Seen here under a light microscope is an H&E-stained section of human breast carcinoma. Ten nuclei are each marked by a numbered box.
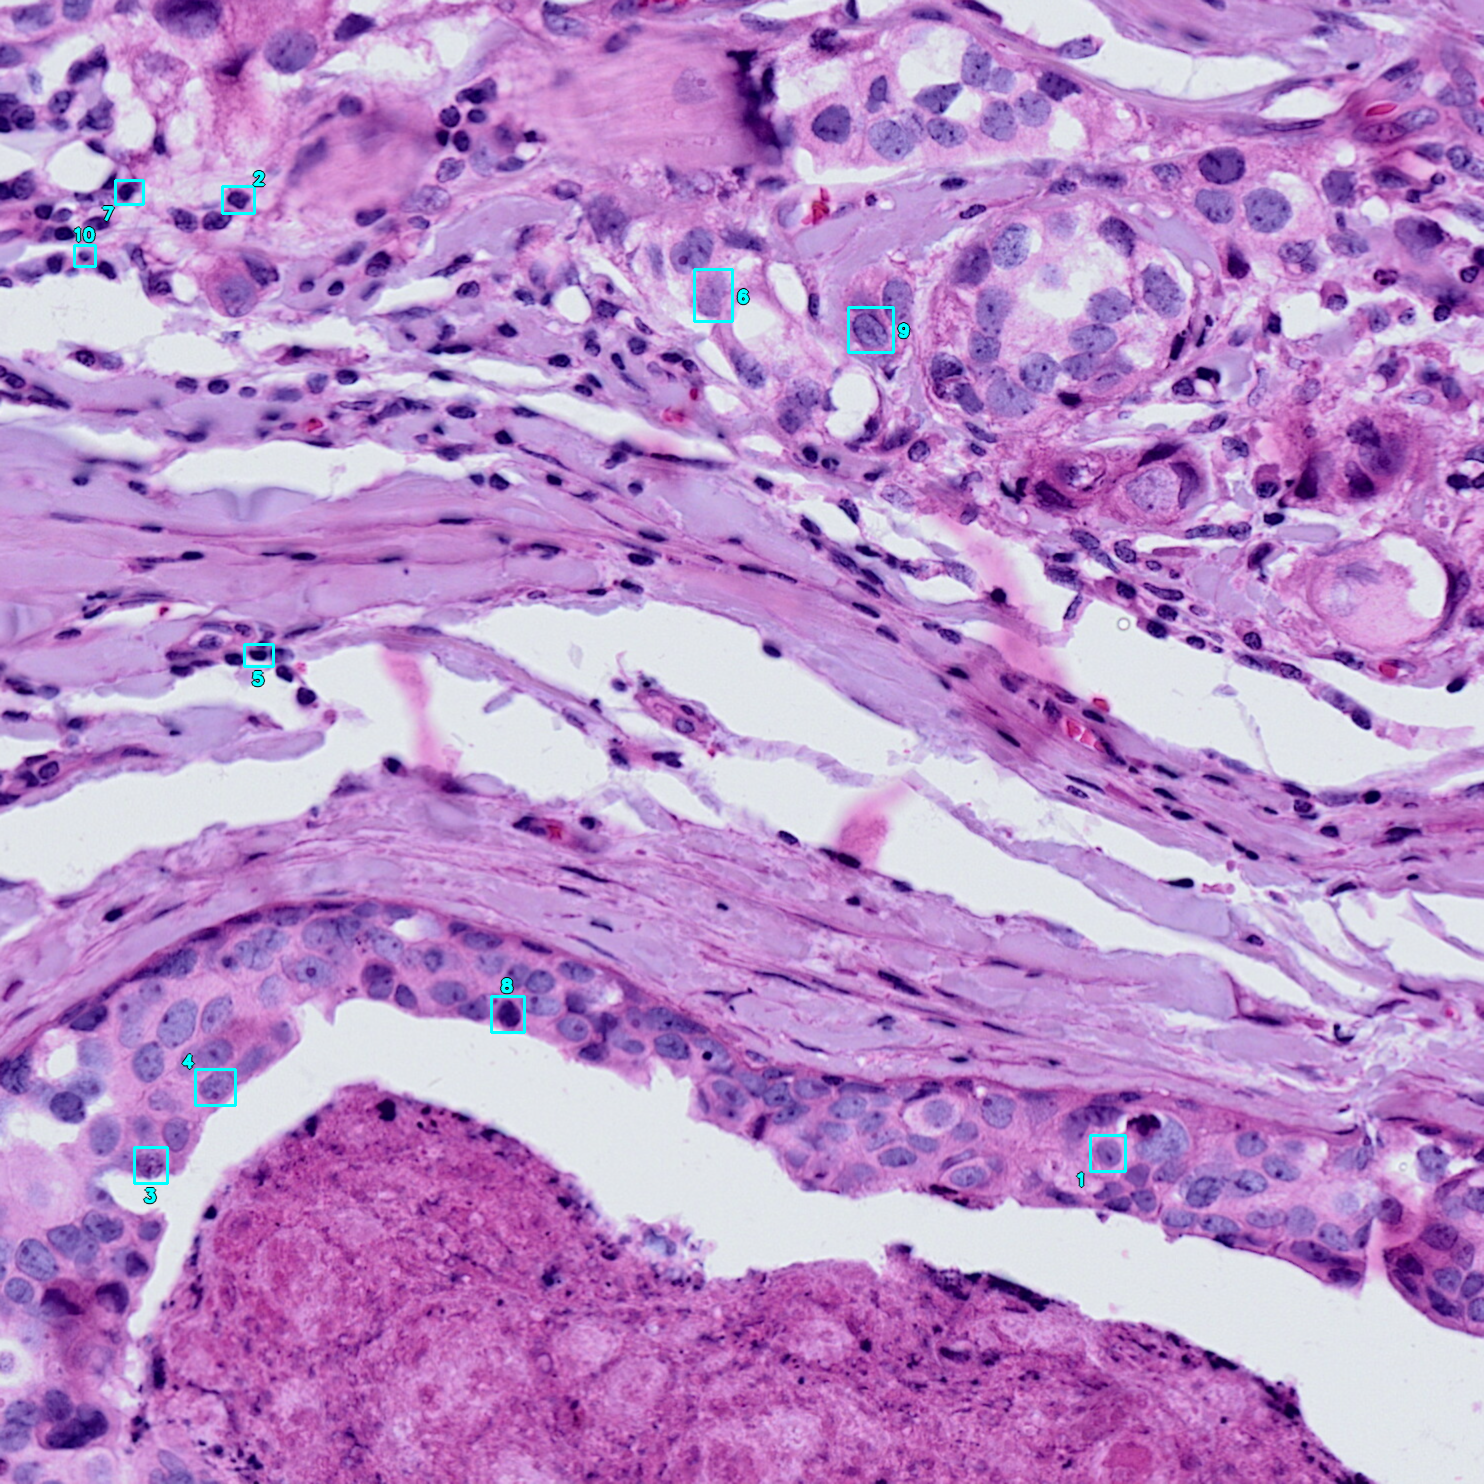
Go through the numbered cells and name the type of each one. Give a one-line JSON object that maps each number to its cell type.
{"1": "carcinoma cell", "2": "lymphocyte", "3": "carcinoma cell", "4": "carcinoma cell", "5": "lymphocyte", "6": "carcinoma cell", "7": "lymphocyte", "8": "carcinoma cell", "9": "carcinoma cell", "10": "lymphocyte"}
